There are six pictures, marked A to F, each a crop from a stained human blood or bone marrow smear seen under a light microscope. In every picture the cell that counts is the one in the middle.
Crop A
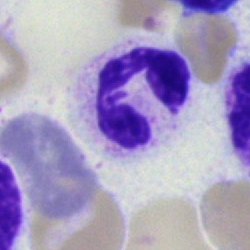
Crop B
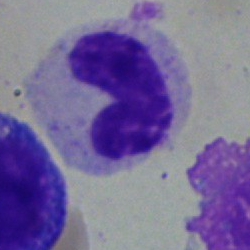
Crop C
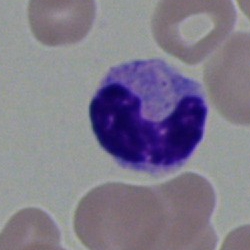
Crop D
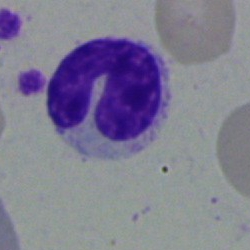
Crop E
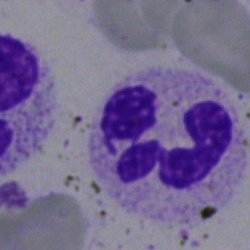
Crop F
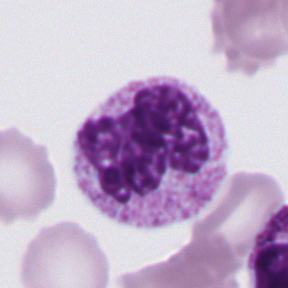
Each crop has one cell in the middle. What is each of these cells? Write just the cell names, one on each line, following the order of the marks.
segmented neutrophil
band neutrophil
segmented neutrophil
band neutrophil
segmented neutrophil
segmented neutrophil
